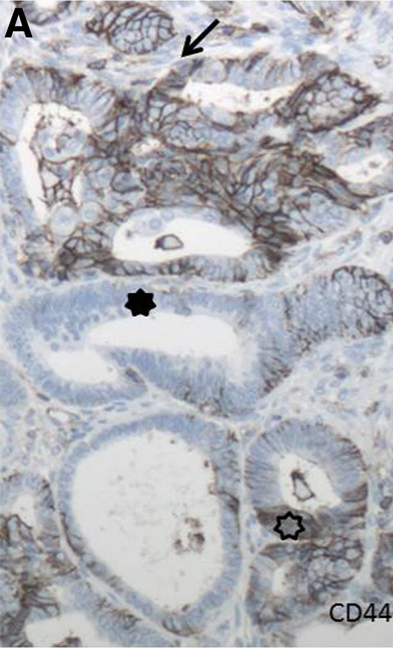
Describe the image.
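Here we see the same kind of gland-forming carcinoma, with columnar tumour cells lining crowded glands. In the upper part and at lower right, the tumour cells show a crisp brown outline along their cell membranes, producing a honeycomb or chicken-wire pattern around each cell. Other glands, such as the one across the middle, stay blue with no membrane outline. The nuclei are blue, oval and stratified. The stroma between glands is thin and only pale, and some lumens contain brown debris.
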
